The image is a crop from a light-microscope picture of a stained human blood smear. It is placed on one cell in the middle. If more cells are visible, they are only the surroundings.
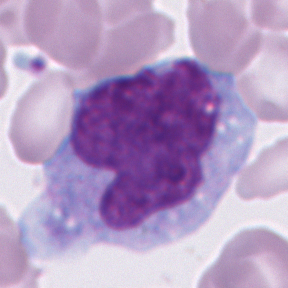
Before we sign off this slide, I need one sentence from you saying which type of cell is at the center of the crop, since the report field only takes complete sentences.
The centered cell in this crop is a monocyte.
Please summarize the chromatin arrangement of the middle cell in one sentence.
Its chromatin is finely dispersed rather than coarsely clumped.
